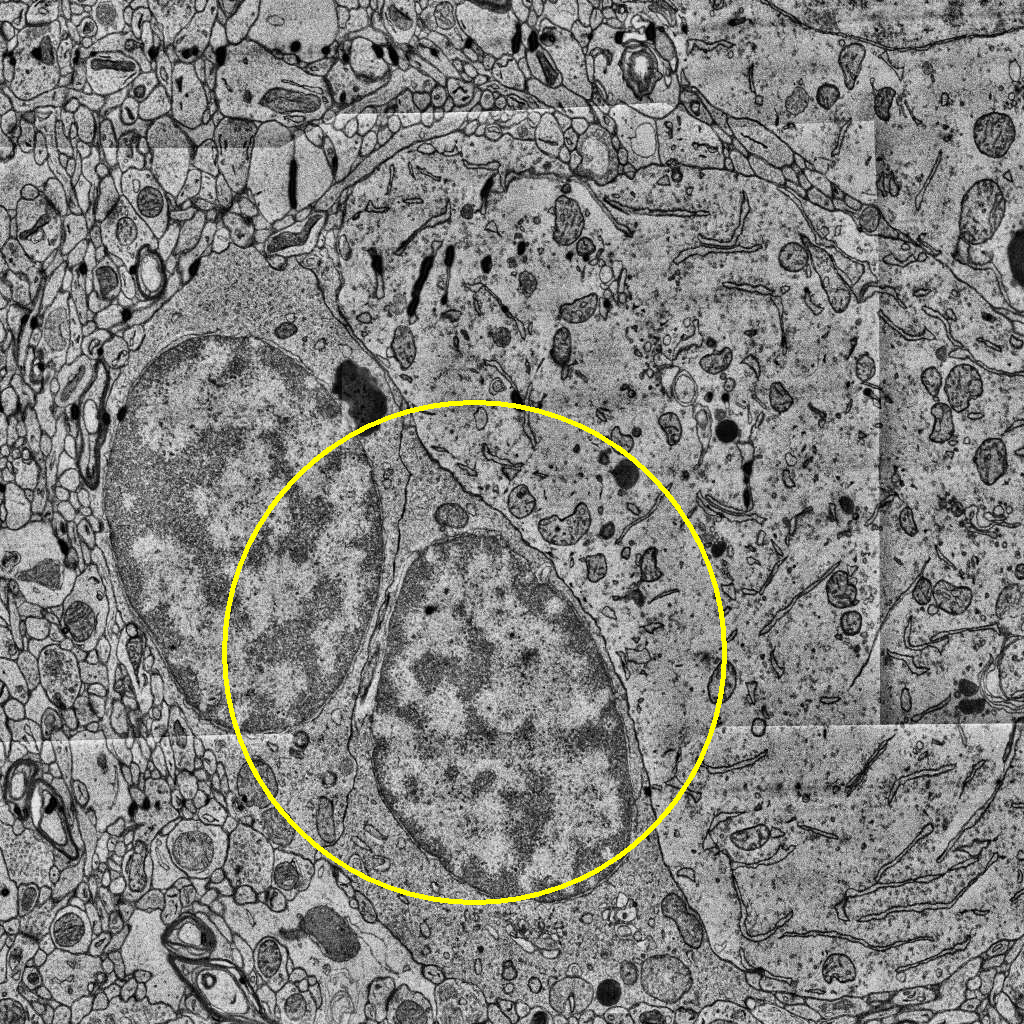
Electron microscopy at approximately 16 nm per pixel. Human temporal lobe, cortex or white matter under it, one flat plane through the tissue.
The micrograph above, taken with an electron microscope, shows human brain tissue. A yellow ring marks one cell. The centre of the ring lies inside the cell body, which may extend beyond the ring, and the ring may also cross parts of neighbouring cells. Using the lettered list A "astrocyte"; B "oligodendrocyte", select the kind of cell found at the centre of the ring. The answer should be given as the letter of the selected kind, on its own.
B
